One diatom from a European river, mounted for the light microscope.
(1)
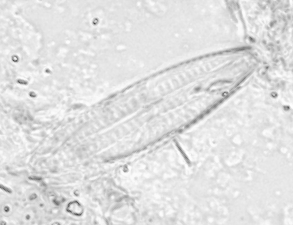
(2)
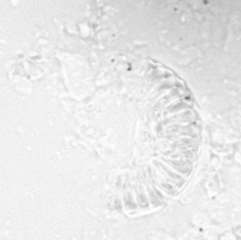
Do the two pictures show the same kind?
No: Navicula, then Cyclotella.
